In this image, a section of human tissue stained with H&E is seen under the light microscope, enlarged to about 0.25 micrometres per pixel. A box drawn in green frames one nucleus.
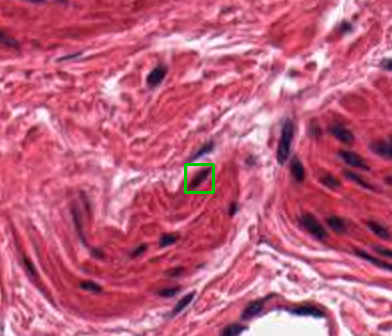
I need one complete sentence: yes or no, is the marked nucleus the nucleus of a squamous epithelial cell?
No, what is marked here is not the nucleus of a squamous epithelial cell.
